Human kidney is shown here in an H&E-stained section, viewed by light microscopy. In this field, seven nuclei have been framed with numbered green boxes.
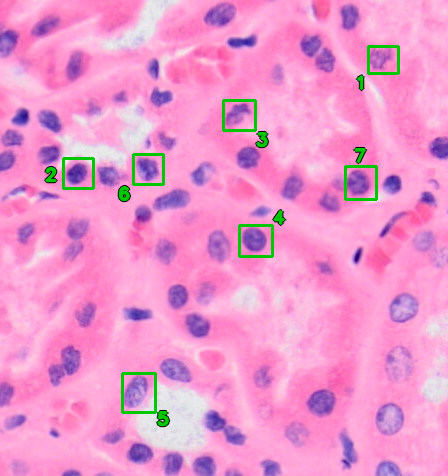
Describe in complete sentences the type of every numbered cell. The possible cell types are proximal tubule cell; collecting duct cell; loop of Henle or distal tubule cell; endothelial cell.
Cell 1 is a proximal tubule cell, cell 2 is a loop of Henle or distal tubule cell, cell 3 is a proximal tubule cell, cell 4 is a proximal tubule cell, cell 5 is a loop of Henle or distal tubule cell, cell 6 is a loop of Henle or distal tubule cell and cell 7 is a proximal tubule cell.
